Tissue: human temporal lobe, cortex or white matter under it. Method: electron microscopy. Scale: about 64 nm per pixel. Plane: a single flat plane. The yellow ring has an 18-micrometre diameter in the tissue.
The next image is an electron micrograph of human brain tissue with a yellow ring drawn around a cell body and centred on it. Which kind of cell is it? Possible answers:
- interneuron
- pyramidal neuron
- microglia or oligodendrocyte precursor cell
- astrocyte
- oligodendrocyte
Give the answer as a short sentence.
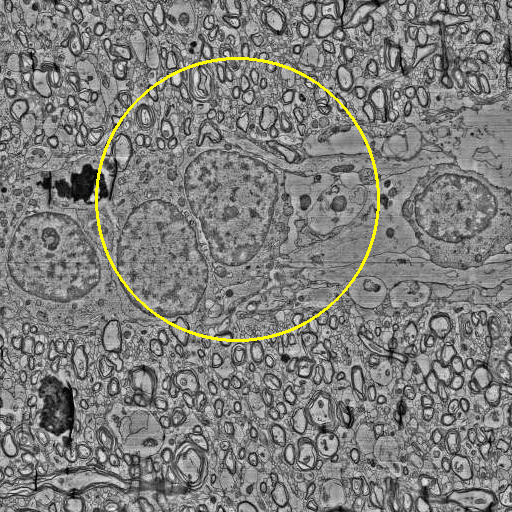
In the ring's centre is an oligodendrocyte.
